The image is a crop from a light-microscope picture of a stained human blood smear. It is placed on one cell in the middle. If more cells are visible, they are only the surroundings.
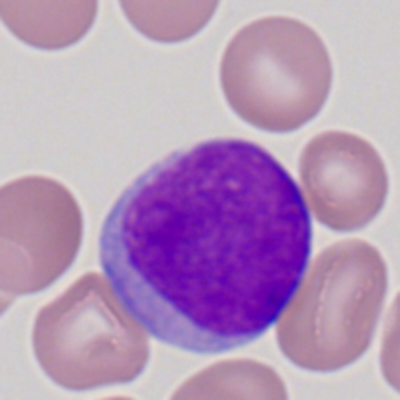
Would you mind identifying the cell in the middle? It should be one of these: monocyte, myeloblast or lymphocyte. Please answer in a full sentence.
Seen at the centre of the crop is a myeloblast.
